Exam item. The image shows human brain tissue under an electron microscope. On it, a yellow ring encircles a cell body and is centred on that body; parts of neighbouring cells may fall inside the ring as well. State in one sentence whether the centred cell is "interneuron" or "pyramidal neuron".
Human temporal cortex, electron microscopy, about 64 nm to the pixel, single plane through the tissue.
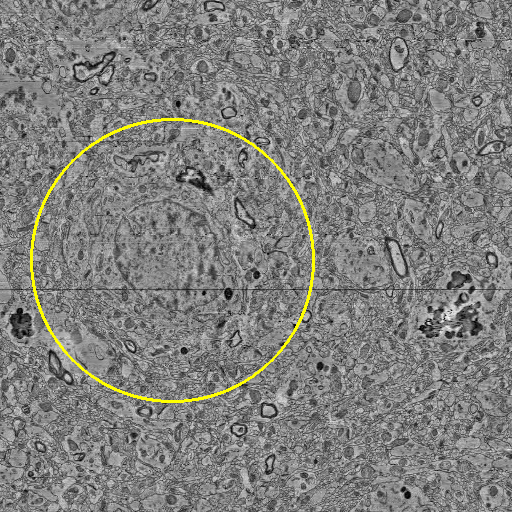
The cell body centred in the ring is an interneuron.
